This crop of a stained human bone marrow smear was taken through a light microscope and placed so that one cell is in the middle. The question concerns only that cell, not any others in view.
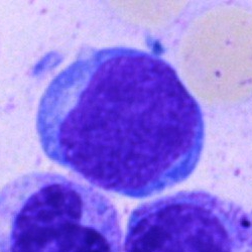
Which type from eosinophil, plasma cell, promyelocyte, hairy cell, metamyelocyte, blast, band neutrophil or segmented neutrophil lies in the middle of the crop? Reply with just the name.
blast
